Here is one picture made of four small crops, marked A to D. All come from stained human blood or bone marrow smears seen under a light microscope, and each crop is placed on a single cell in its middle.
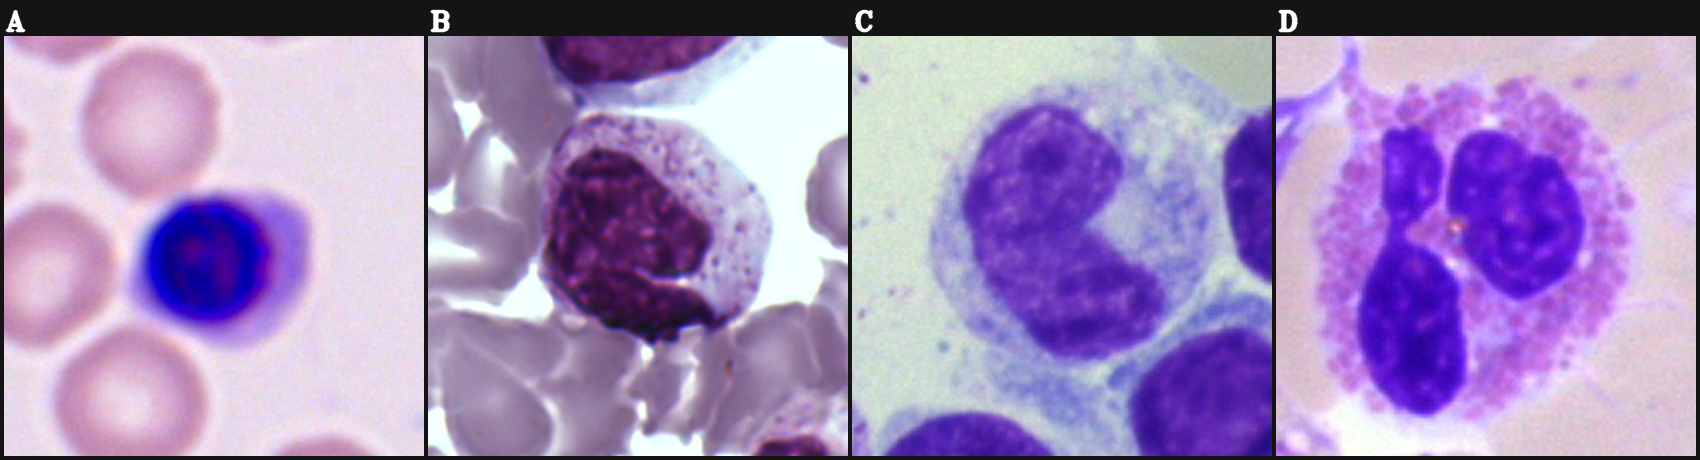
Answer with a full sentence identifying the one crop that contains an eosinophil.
The requested cell, an eosinophil, is the one in crop D.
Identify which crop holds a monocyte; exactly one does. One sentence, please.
The one crop that shows a monocyte is crop C.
